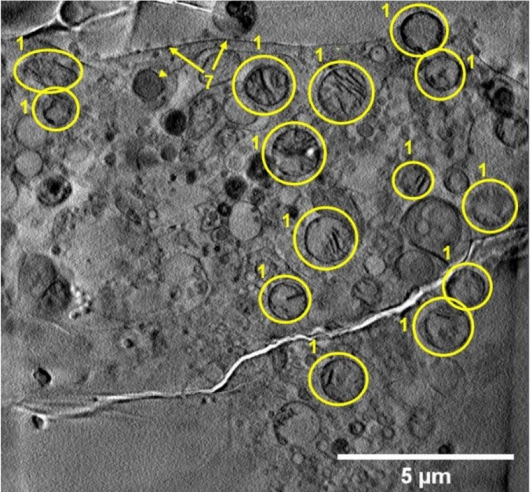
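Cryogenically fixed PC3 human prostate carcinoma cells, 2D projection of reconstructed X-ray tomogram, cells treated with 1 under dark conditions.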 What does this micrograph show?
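Smaller dense round bodies and pale vesicles lie between them. A bright irregular fissure crosses the lower part of the field, and a thin membrane line runs along the upper edge of the cell.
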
